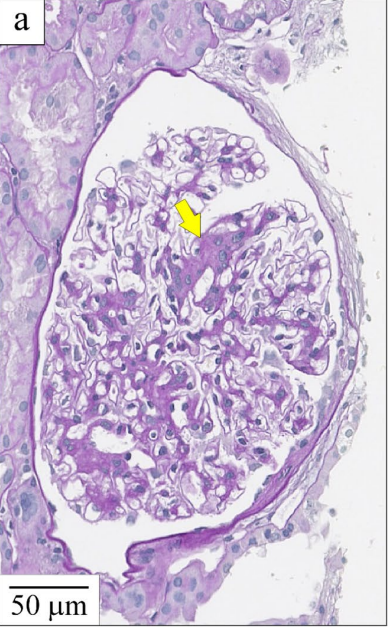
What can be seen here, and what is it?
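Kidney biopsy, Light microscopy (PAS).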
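A glomerulus lies within a clear urinary space bounded by a thin magenta capsule, surrounded by tubules with cuboidal epithelium. The tuft consists of many open capillary loops outlined by magenta basement membranes. In the central stalk regions the magenta matrix is widened and nuclei are crowded together in one segment. The rest of the tuft shows thin loops with scattered nuclei.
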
